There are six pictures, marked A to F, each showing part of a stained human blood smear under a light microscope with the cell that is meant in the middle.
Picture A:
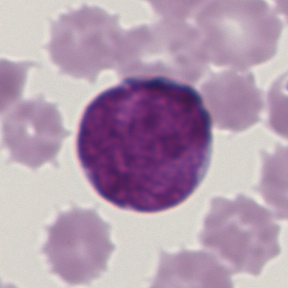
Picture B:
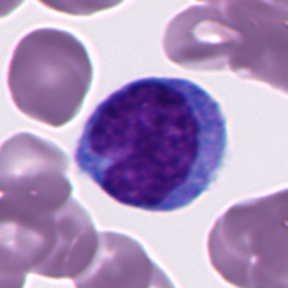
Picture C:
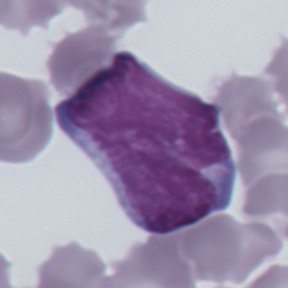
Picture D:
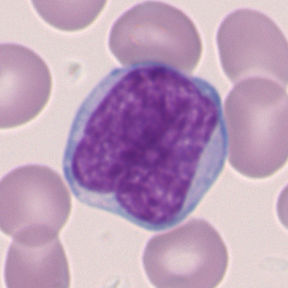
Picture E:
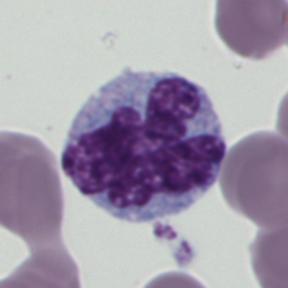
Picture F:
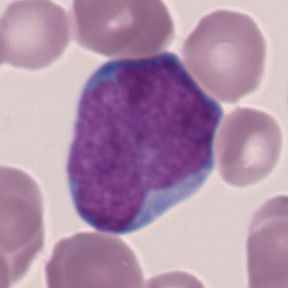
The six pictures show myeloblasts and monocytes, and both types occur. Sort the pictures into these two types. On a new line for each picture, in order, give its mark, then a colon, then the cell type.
A: myeloblast
B: monocyte
C: myeloblast
D: myeloblast
E: monocyte
F: myeloblast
